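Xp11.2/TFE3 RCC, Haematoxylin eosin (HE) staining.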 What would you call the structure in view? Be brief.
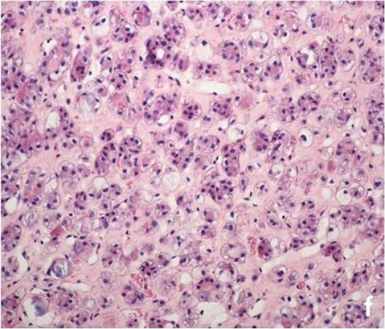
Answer: Nested architecture.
